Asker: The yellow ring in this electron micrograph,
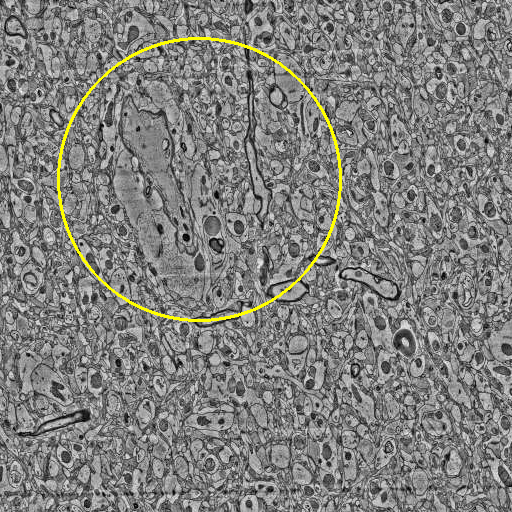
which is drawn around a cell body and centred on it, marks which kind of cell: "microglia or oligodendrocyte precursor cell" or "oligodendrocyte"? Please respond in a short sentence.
The marked cell is a microglial cell or oligodendrocyte precursor cell.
